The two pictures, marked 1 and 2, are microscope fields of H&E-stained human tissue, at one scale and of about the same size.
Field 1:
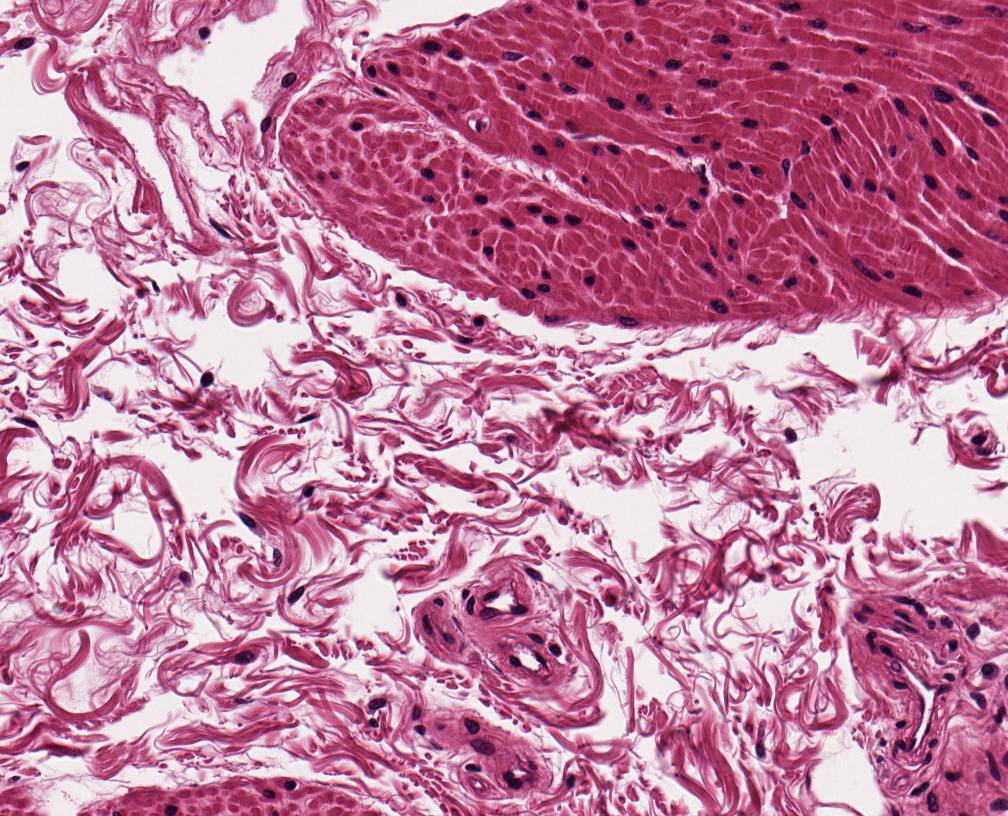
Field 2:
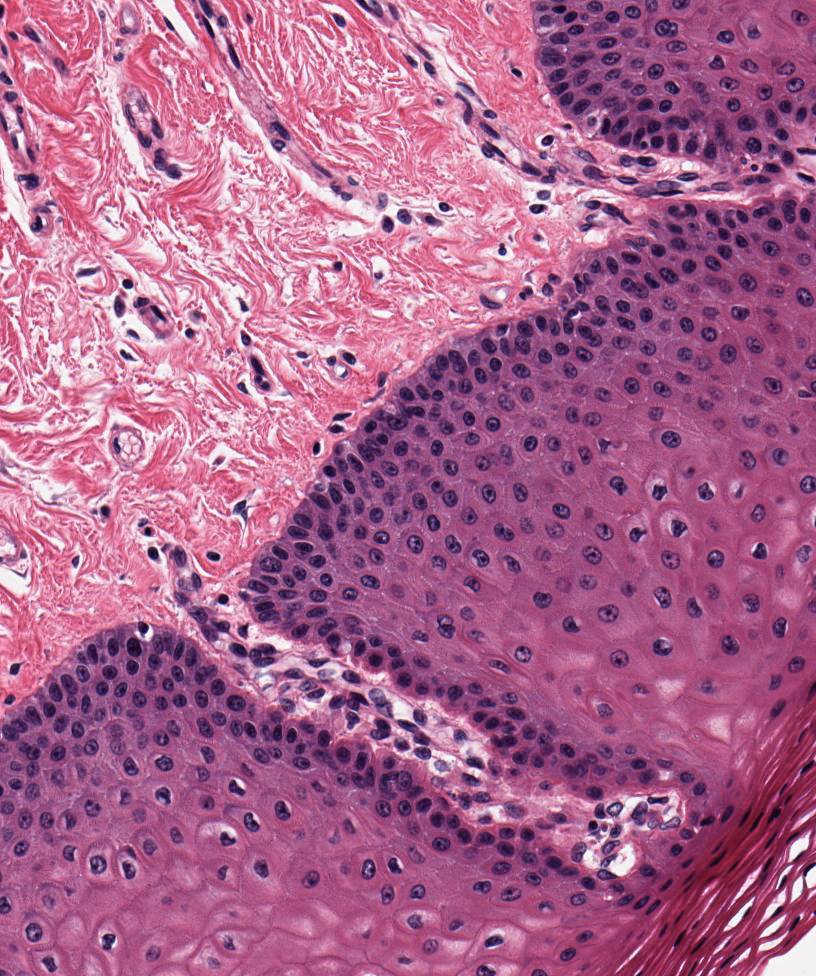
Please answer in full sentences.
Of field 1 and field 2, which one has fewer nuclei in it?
Fewer nuclei lie in field 1 than in field 2.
